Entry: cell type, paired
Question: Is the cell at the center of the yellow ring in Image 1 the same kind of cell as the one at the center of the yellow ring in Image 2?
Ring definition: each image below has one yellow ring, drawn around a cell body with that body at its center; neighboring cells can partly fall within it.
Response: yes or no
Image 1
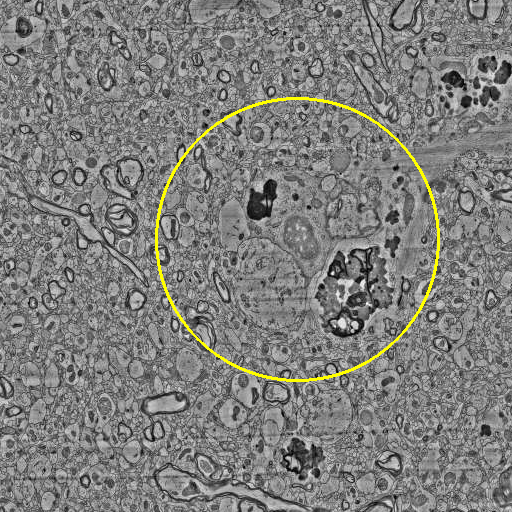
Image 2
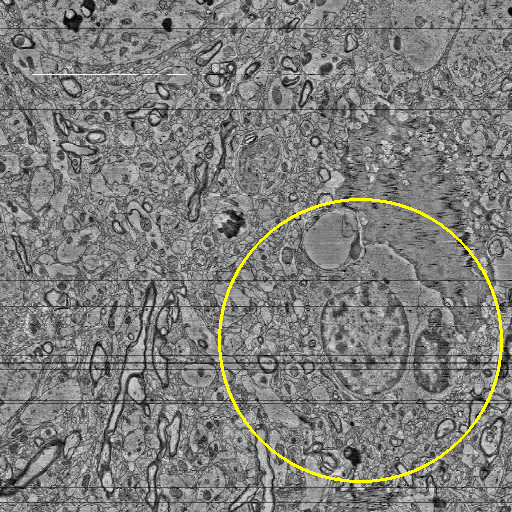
yes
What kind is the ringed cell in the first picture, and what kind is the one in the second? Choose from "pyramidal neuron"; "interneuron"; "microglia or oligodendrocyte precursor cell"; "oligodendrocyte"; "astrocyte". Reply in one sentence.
Both pictures show an oligodendrocyte at the centre of the ring.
